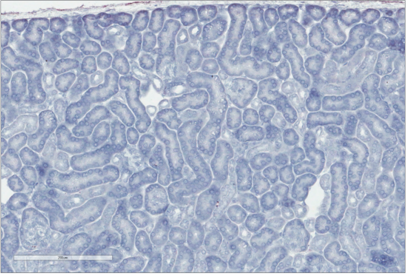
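This is kidney cortex beneath the capsule, made up of tightly packed tubules cut in round and elongated profiles with blue-stained epithelial nuclei, plus a few rounded glomeruli and small vessels. Almost no purple deposit is seen anywhere in the section.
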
